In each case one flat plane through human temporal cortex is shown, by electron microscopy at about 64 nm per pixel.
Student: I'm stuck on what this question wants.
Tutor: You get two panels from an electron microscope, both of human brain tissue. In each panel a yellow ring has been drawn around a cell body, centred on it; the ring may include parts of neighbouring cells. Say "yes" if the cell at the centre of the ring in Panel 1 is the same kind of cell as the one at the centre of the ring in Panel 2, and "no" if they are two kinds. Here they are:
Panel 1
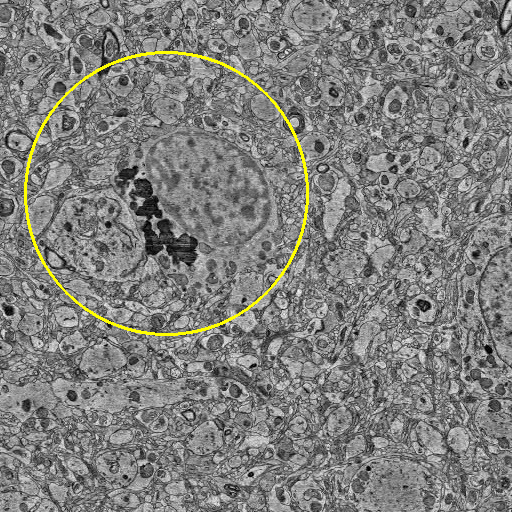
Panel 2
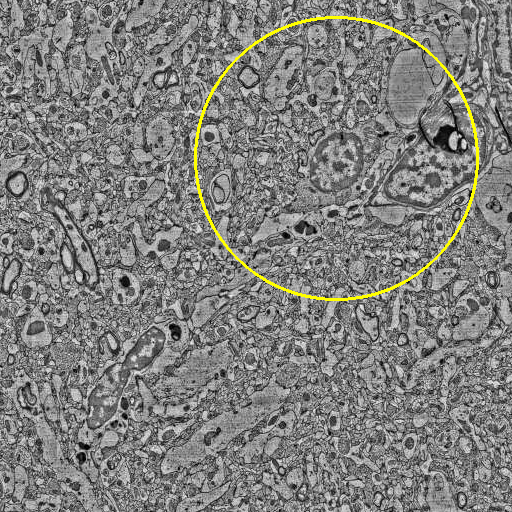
yes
